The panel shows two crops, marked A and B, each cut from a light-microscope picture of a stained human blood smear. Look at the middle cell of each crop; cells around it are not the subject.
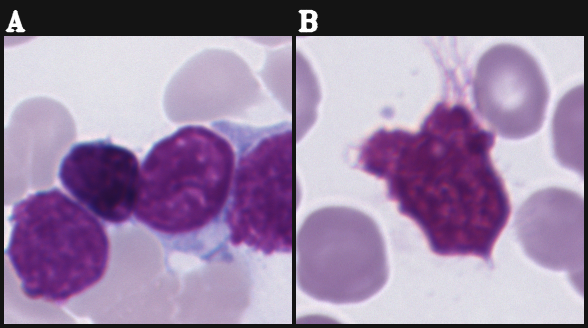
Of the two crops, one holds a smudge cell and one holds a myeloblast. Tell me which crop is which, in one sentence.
The cell that crop A centres on is a myeloblast, and the cell that crop B centres on is a smudge cell.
